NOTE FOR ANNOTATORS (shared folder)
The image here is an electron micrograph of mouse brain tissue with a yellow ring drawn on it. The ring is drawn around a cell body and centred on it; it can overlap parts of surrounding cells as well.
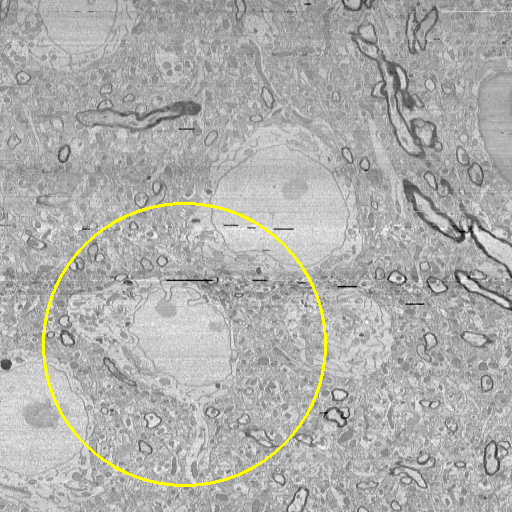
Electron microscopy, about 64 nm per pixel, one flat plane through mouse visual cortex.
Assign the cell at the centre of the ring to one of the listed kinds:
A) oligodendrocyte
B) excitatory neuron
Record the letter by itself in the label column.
B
